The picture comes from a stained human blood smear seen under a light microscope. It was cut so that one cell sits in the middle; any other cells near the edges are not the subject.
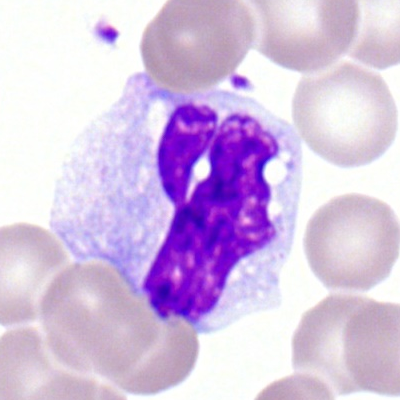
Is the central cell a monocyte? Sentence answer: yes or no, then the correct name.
Yes, the cell in the middle of the view is a monocyte.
